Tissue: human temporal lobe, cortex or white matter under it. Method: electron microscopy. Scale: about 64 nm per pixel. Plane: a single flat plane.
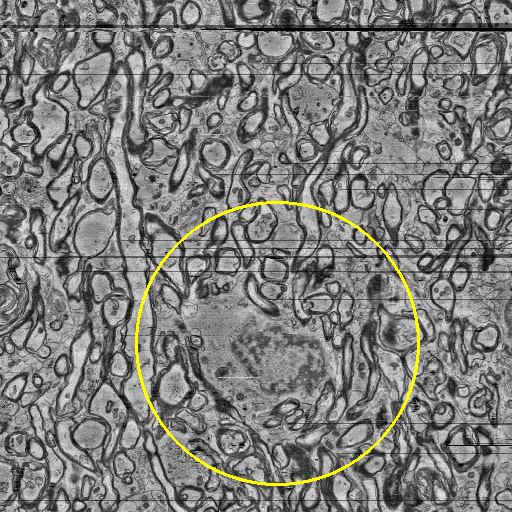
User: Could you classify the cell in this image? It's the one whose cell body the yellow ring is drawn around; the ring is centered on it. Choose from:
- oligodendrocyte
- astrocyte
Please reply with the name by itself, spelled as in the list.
astrocyte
